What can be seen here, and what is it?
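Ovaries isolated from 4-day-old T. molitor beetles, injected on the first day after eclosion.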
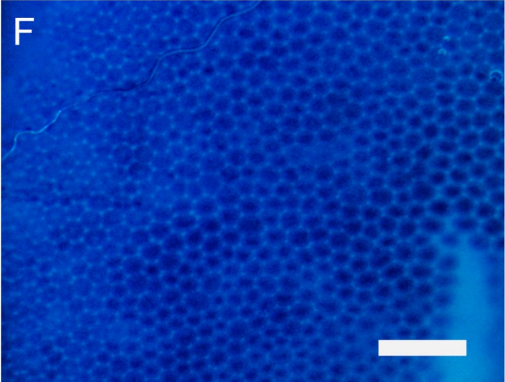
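This is the follicular epithelium covering an ovarian follicle, seen from the surface. It is a single continuous layer of small, closely packed polygonal, roughly hexagonal follicle cells. The cells form a regular honeycomb mosaic, each showing a darker blue centre surrounded by a paler rim where it meets its neighbours. The cells are even in size and there are no gaps in the sheet.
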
